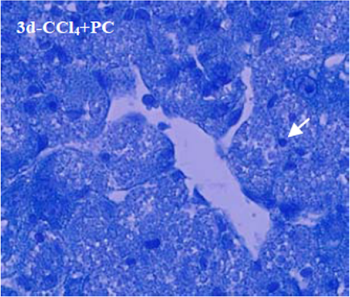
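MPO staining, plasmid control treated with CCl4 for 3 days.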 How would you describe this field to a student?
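This is liver tissue, made mostly of large polygonal hepatocytes with round nuclei and a pale, finely granular blue cytoplasm. In the middle runs an irregular pale vessel lumen, with the liver cells packed closely around it. Scattered between the hepatocytes are much smaller cells with compact, darker nuclei, and the arrow marks one of these, a neutrophil.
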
